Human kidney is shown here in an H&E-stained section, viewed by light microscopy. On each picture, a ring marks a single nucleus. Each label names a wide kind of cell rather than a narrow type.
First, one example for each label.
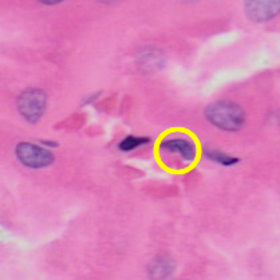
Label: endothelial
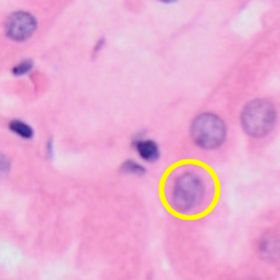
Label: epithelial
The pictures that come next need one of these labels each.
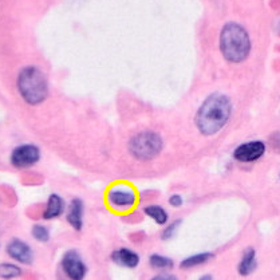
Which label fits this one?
endothelial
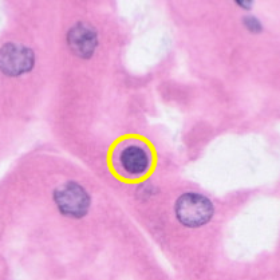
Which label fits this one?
epithelial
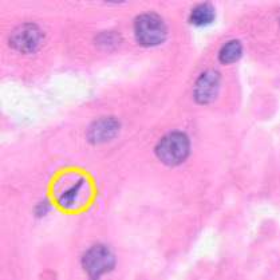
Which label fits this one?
endothelial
